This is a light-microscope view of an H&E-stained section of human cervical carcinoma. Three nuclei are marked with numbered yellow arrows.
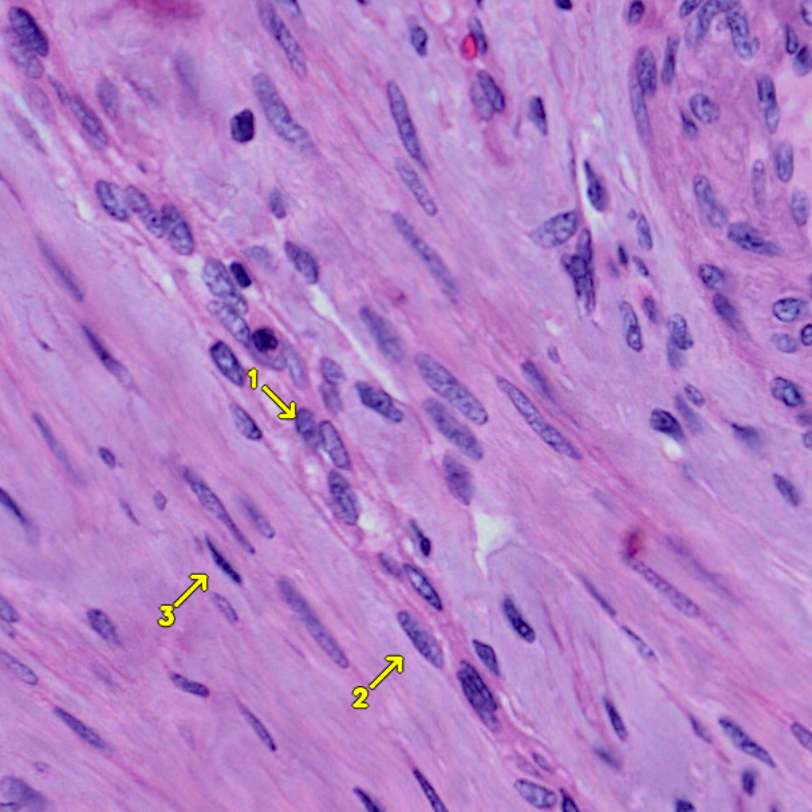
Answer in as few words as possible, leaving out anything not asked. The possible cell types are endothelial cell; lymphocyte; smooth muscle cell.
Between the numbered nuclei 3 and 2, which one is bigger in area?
2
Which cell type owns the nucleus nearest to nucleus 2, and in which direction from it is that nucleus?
an endothelial cell above nucleus 2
